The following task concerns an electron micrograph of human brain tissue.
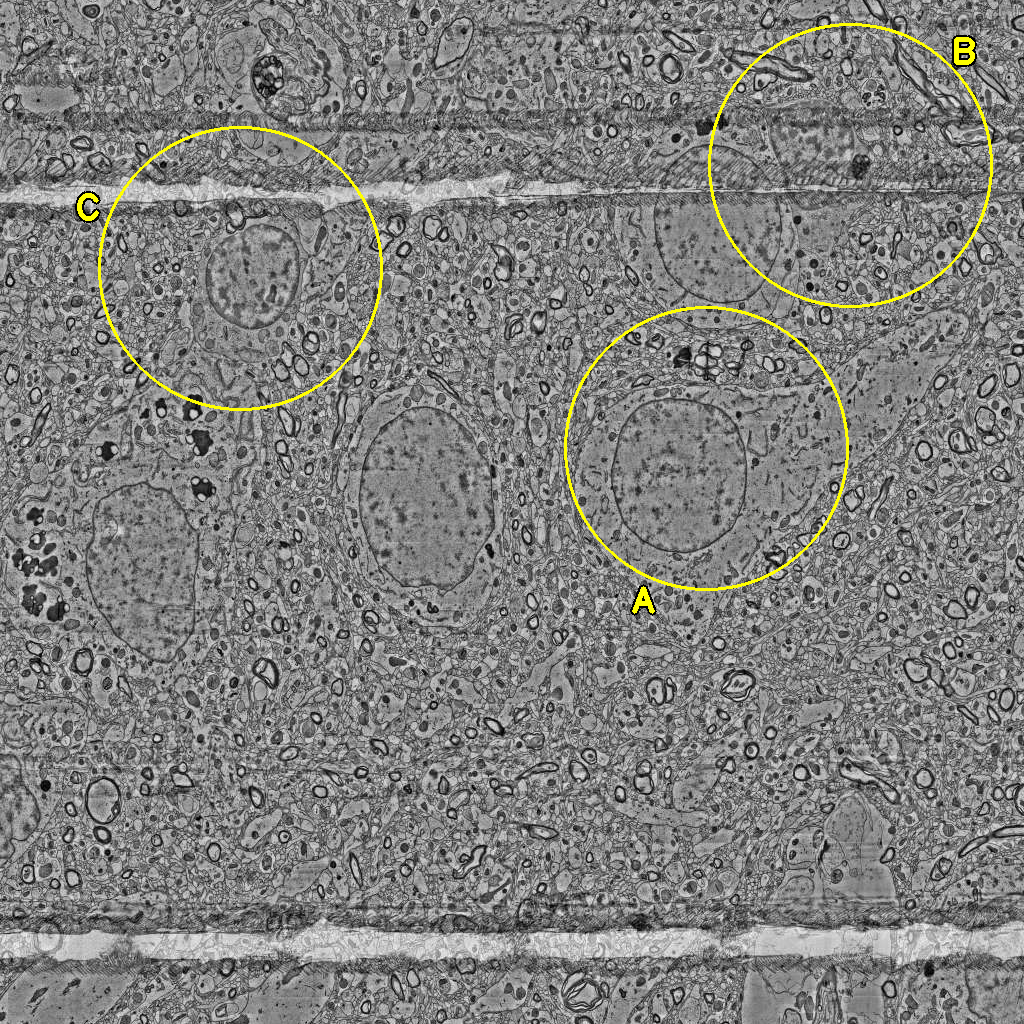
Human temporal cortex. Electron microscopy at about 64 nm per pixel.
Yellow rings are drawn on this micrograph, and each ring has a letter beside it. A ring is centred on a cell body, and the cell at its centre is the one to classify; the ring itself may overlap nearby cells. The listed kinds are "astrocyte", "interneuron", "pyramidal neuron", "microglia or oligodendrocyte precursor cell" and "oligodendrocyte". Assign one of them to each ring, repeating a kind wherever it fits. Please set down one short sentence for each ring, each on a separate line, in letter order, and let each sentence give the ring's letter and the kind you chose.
The cell ringed as A is a pyramidal neuron.
The cell ringed as B is an oligodendrocyte.
The cell ringed as C is an oligodendrocyte.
